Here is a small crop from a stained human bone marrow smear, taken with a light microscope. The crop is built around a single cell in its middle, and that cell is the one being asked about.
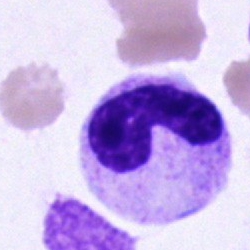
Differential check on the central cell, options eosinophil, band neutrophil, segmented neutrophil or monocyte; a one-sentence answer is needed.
In this smear crop, the middle cell is a band neutrophil.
